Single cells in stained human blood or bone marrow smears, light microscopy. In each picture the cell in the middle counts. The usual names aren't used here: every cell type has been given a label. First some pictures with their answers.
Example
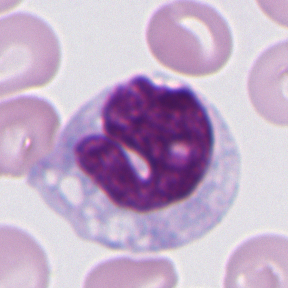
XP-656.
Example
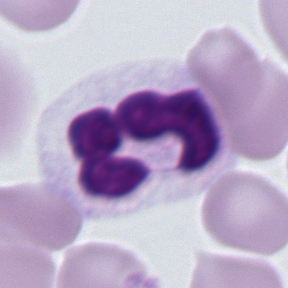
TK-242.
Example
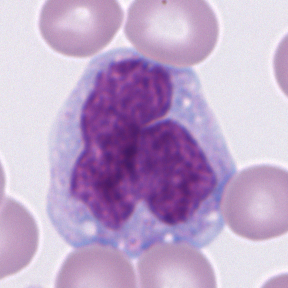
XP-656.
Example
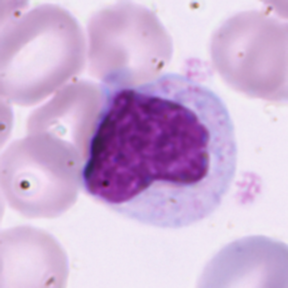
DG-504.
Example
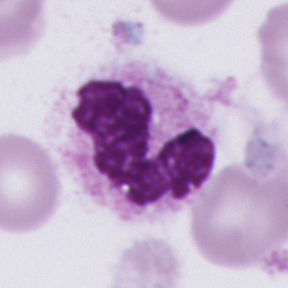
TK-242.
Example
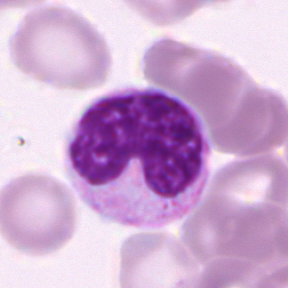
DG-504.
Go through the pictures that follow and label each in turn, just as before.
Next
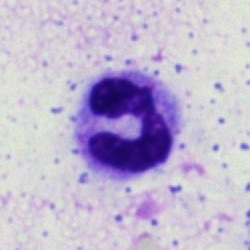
TK-242.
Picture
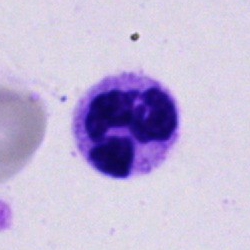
TK-242.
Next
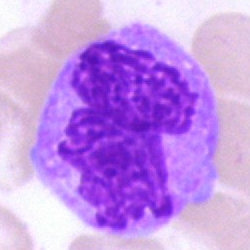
XP-656.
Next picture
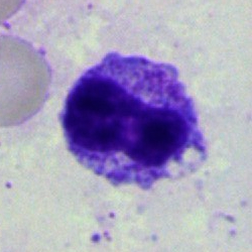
DG-504.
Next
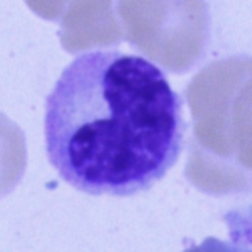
DG-504.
